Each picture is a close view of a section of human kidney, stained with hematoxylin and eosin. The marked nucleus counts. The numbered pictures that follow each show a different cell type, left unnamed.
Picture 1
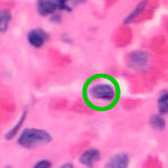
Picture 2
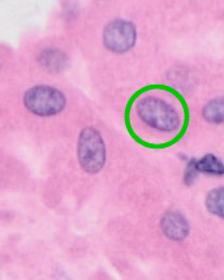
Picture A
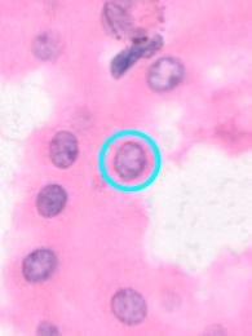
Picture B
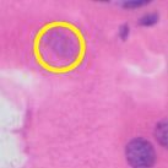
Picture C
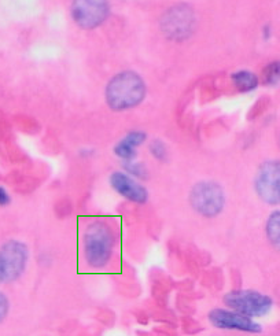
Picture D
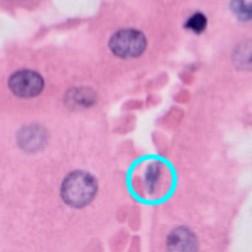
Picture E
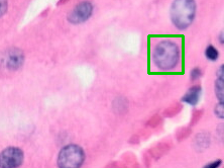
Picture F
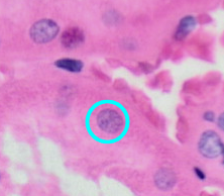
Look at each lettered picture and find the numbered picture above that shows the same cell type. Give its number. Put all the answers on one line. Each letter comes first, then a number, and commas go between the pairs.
A 2, B 2, C 1, D 1, E 2, F 2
